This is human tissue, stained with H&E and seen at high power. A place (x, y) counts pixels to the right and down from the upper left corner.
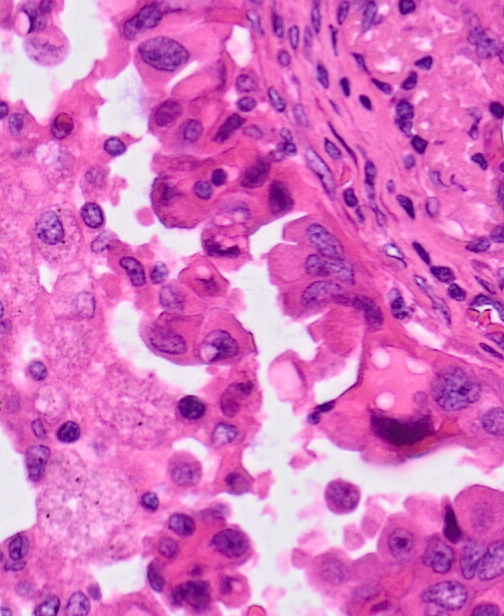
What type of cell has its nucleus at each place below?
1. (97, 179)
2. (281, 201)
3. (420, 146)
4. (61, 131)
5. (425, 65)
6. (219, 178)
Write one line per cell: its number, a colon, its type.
1: macrophage or monocyte
2: carcinoma cell
3: lymphocyte
4: macrophage or monocyte
5: lymphocyte
6: lymphocyte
